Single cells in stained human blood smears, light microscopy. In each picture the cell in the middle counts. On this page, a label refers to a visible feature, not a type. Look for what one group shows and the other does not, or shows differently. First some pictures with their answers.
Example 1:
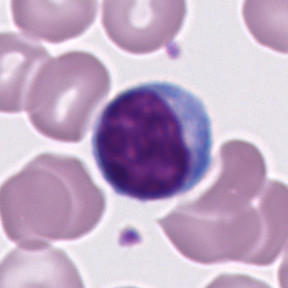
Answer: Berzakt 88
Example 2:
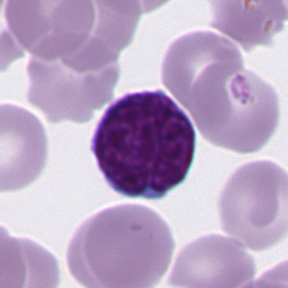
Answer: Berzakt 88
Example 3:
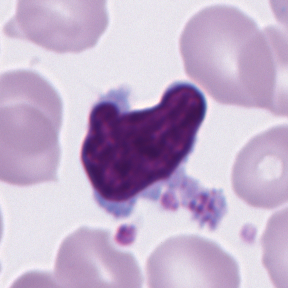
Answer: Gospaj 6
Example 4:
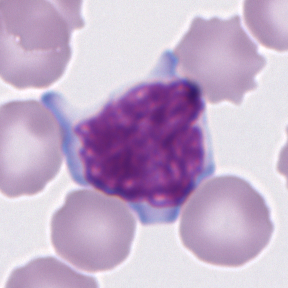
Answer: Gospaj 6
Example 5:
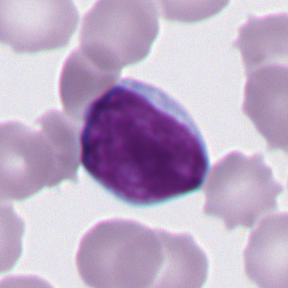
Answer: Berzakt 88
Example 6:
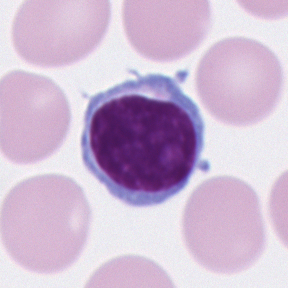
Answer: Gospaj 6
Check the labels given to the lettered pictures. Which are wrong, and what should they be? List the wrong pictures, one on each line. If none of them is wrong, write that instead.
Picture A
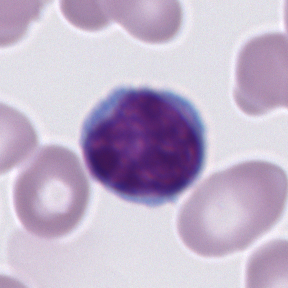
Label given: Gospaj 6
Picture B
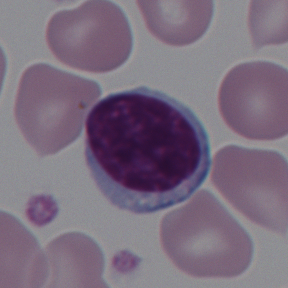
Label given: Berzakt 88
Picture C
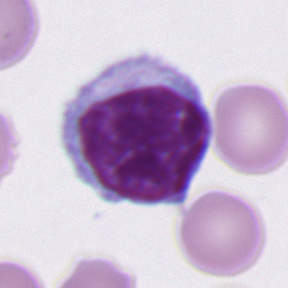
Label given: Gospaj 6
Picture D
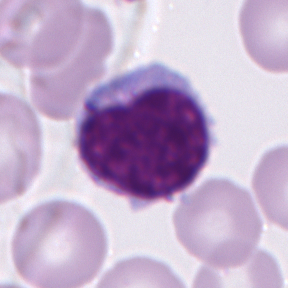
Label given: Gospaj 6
Wrong: A (Gospaj 6); correct: Berzakt 88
